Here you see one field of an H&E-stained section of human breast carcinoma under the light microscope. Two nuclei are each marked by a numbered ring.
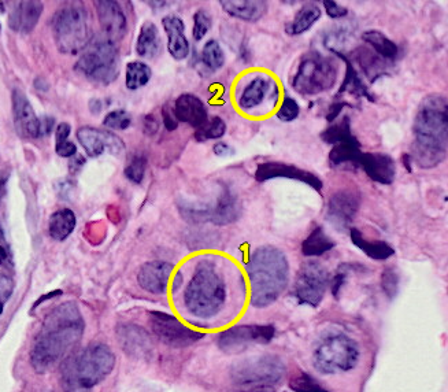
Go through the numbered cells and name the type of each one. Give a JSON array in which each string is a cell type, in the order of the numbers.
["carcinoma cell", "lymphocyte"]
